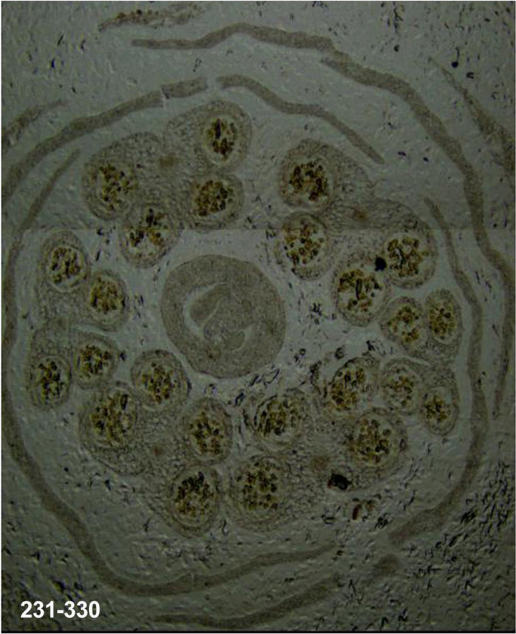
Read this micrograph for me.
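Transverse section of a flower bud showing a ring of anthers with well-developed pollen sacs around a central pistil. Several thin, wavy concentric bands of outer floral organs enclose the section. Inside them, lobed anthers each hold grouped round pollen sacs, each sac bounded by a thin wall and densely packed with brownish grains. The centre is occupied by an oval, pale pistil with a curved internal cavity. The tissue is otherwise pale grey without distinct colour staining.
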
